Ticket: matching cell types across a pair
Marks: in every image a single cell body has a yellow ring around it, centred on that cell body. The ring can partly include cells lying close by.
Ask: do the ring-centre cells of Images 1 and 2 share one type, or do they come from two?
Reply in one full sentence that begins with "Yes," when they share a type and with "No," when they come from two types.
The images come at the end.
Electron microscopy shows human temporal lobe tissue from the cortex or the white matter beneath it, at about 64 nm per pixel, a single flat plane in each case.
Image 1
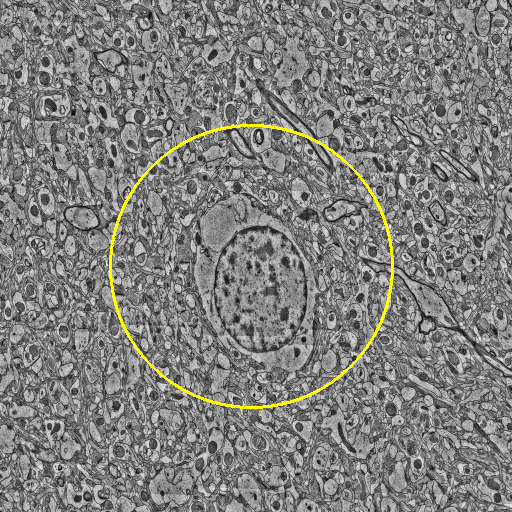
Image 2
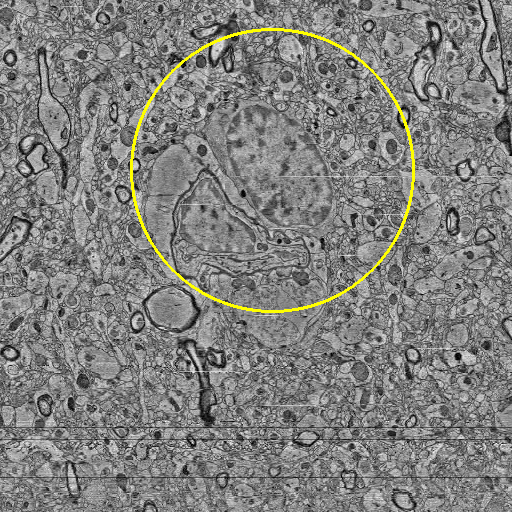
No, the cells in the centres of the rings in Image 1 and Image 2 come from two types.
